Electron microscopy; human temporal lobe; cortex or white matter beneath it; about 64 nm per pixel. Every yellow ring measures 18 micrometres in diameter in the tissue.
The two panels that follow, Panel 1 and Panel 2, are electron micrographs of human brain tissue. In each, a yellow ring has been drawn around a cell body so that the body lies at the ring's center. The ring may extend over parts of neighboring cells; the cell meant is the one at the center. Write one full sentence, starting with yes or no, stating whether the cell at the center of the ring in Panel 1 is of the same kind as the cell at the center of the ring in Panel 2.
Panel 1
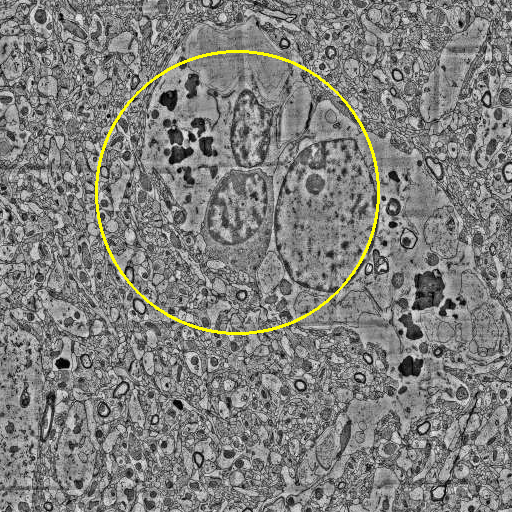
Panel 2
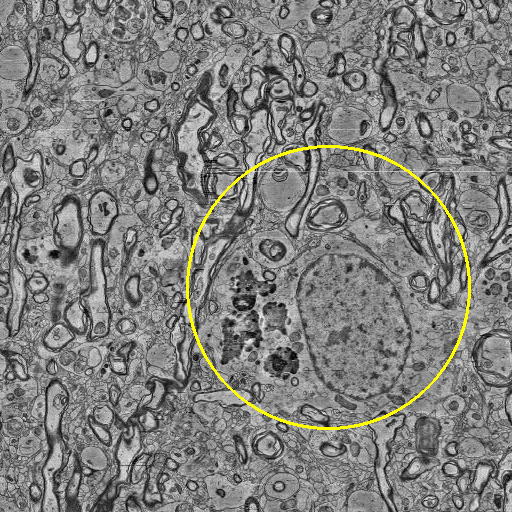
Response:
No, the cells in the two panels are of two kinds.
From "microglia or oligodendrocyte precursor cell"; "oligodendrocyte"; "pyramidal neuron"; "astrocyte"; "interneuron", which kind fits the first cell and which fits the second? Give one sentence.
The cell marked in the first picture is an oligodendrocyte, and the one marked in the second is an astrocyte.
